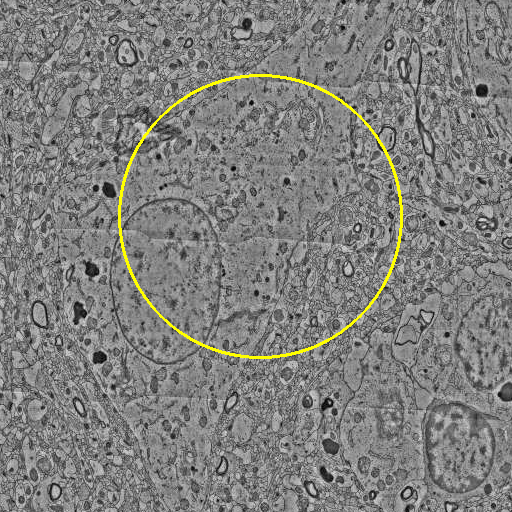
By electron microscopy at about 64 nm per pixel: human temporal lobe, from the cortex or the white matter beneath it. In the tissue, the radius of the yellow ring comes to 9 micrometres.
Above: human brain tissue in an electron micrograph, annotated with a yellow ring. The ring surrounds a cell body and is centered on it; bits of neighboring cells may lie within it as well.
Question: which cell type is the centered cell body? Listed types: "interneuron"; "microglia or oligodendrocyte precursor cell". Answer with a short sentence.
The centered cell body is a microglial cell or oligodendrocyte precursor cell.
